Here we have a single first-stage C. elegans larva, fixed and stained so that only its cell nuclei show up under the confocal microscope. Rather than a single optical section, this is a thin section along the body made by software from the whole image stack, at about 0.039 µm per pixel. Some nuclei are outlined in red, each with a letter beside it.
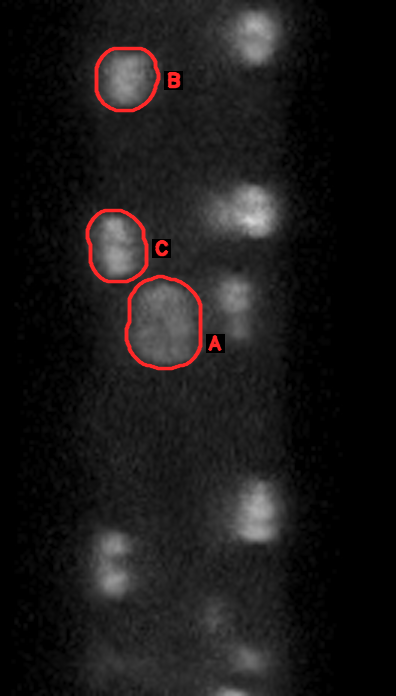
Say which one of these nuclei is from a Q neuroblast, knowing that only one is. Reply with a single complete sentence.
Of the marked nuclei, C is the one in a Q neuroblast.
